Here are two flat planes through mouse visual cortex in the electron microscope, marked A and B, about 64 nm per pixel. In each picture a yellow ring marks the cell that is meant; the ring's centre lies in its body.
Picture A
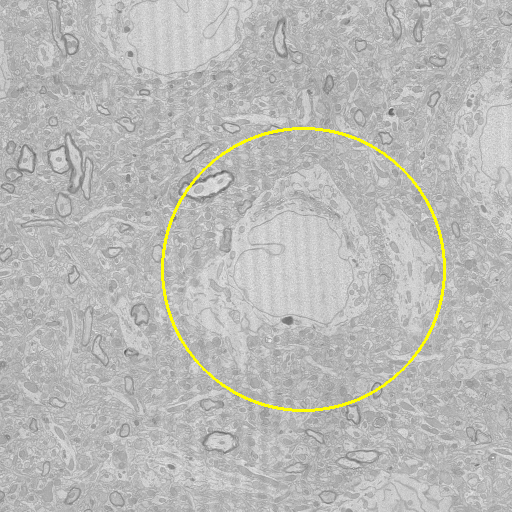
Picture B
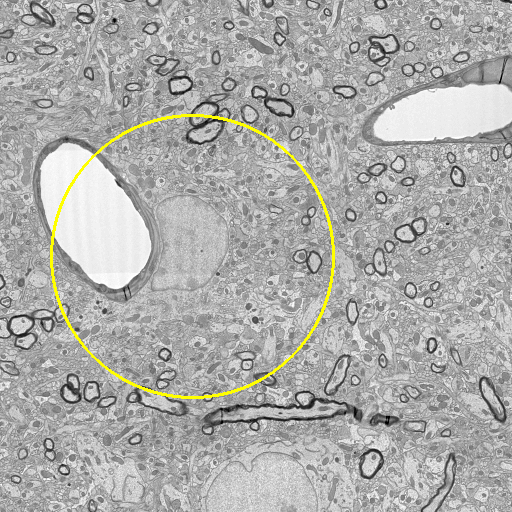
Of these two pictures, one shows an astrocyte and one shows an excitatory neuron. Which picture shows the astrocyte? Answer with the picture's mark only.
B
